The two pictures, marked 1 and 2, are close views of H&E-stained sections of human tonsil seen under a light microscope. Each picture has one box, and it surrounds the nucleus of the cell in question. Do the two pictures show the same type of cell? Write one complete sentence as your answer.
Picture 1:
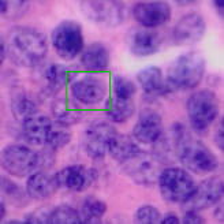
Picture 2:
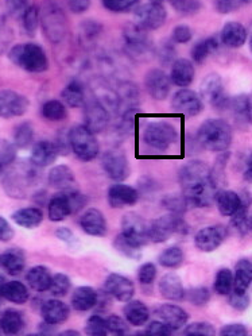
Yes, both cells are proliferating B cells.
